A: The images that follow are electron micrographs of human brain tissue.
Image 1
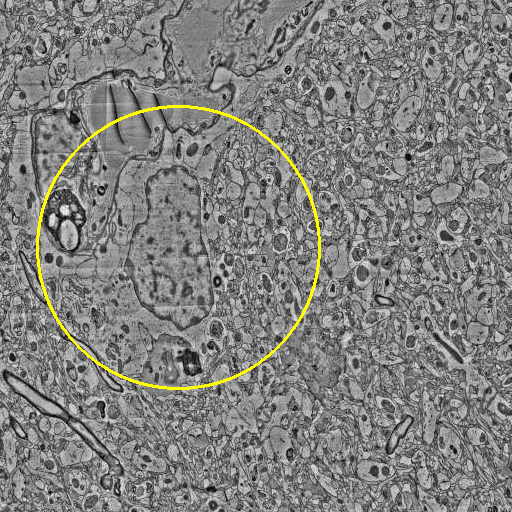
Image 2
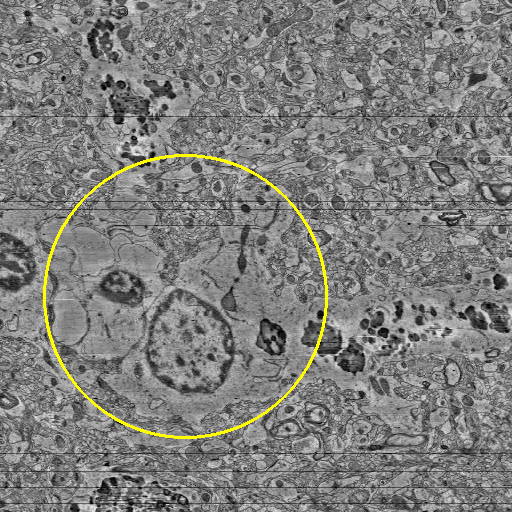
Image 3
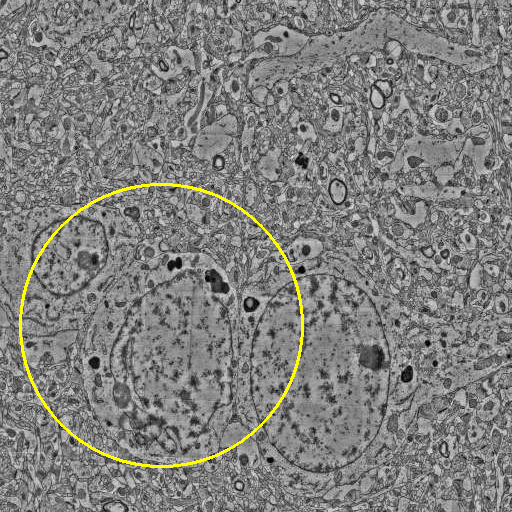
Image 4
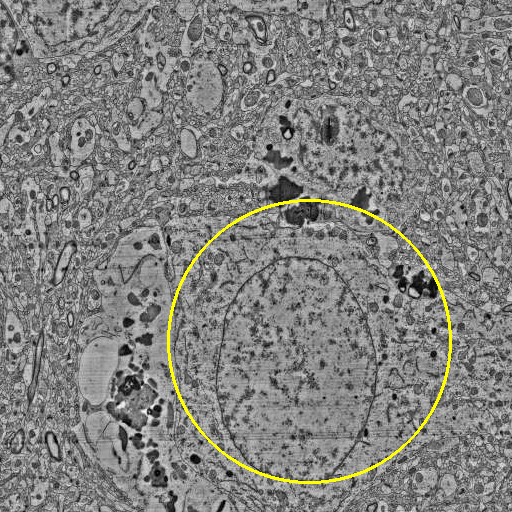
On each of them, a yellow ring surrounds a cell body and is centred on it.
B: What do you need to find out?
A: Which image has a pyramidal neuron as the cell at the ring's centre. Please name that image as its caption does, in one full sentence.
Image 4 is the one whose ring has the sought cell at its centre.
